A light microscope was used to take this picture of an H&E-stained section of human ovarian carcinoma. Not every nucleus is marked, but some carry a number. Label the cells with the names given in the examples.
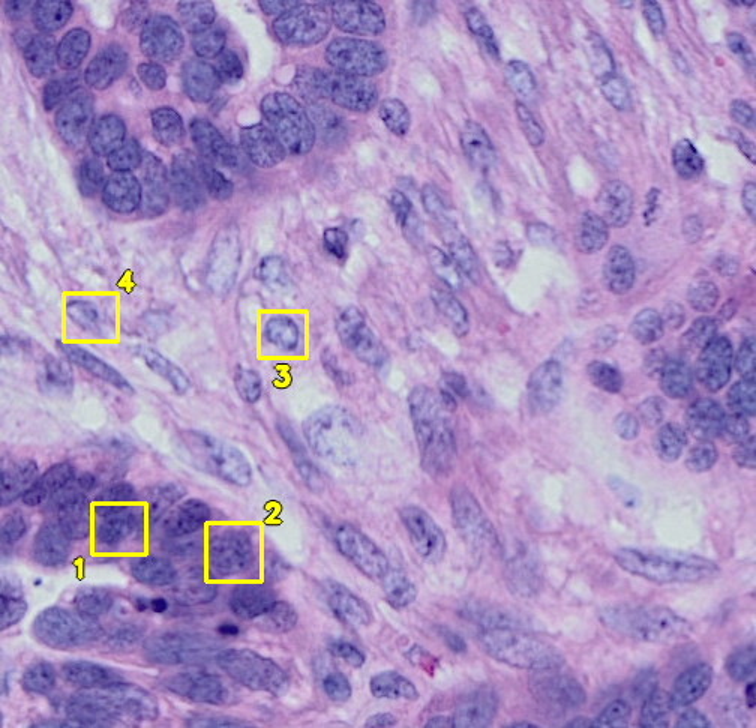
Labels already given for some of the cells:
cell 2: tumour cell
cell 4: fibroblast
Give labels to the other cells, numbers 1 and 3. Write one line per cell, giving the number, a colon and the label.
1: tumour cell
3: fibroblast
